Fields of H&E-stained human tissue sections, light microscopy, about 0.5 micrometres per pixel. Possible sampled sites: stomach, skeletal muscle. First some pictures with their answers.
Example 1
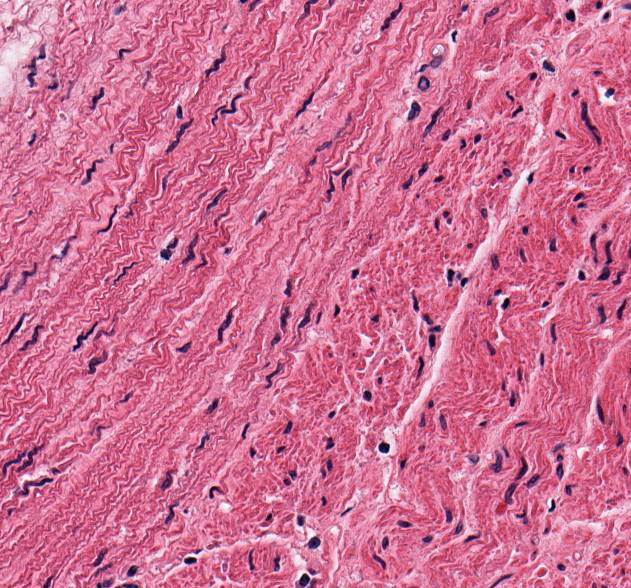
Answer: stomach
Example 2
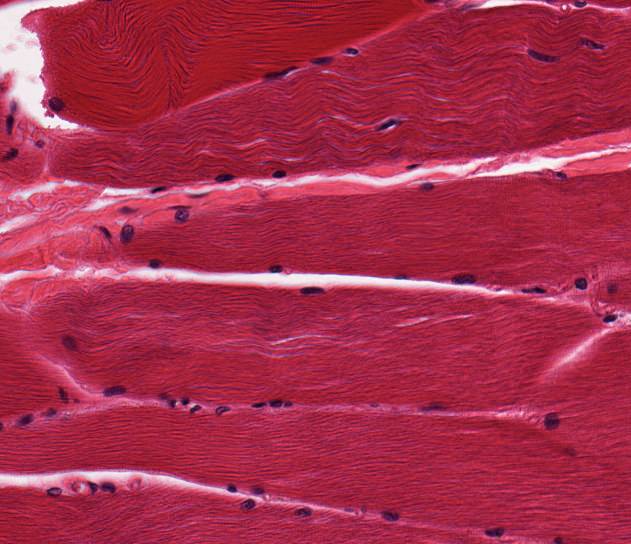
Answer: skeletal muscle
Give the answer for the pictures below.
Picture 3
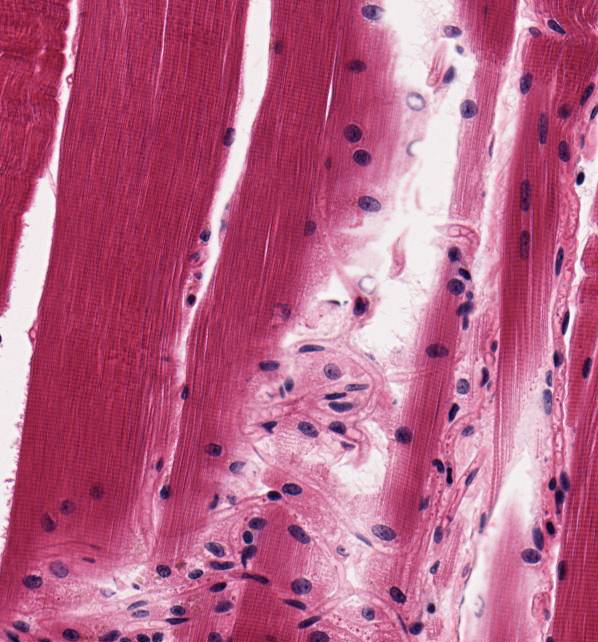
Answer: skeletal muscle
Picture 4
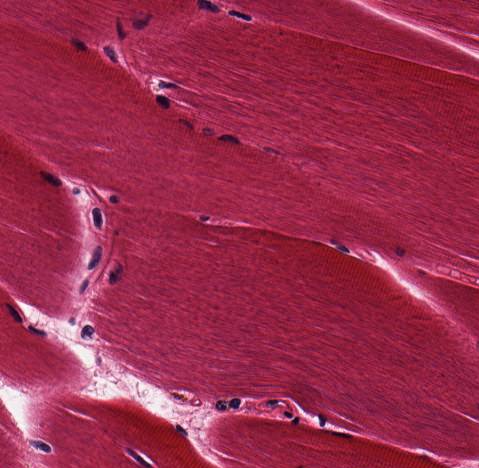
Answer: skeletal muscle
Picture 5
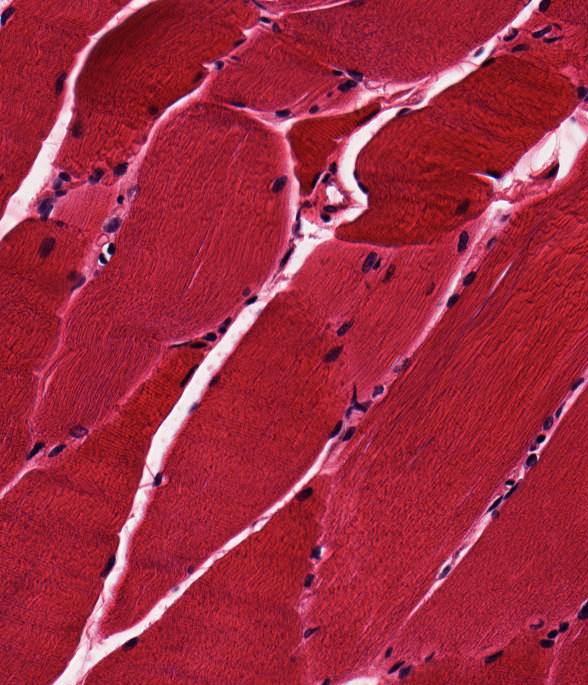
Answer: skeletal muscle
